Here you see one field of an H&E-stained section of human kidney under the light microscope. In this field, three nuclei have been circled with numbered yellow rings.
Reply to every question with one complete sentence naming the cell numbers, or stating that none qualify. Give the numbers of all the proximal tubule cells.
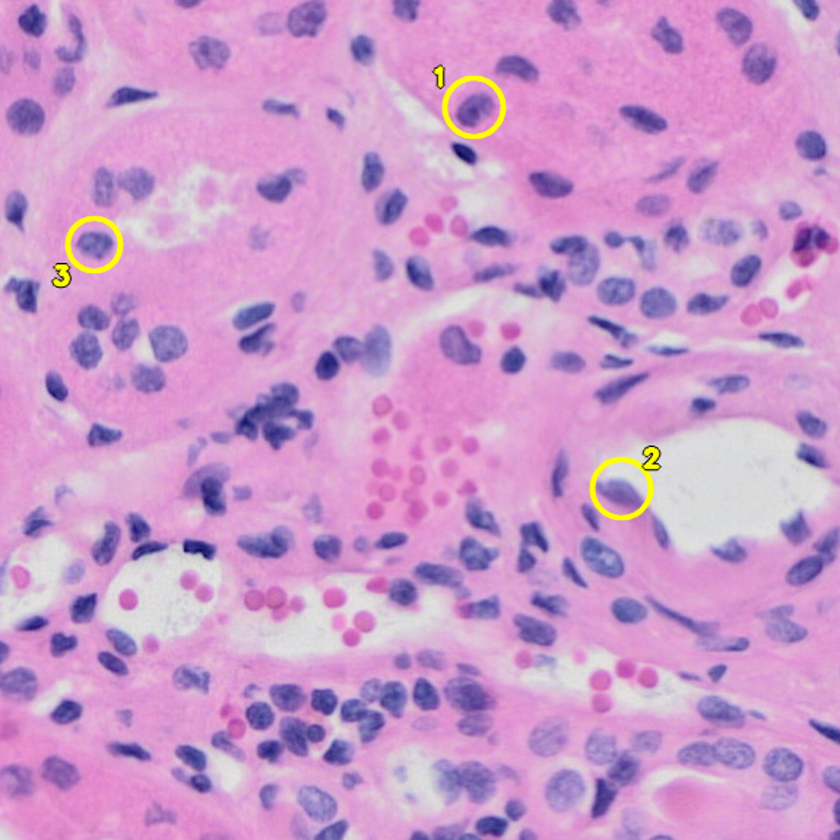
Exactly one numbered cell is a proximal tubule cell, and that cell is number 1.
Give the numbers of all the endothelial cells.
Only cell 2 should be marked as an endothelial cell.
